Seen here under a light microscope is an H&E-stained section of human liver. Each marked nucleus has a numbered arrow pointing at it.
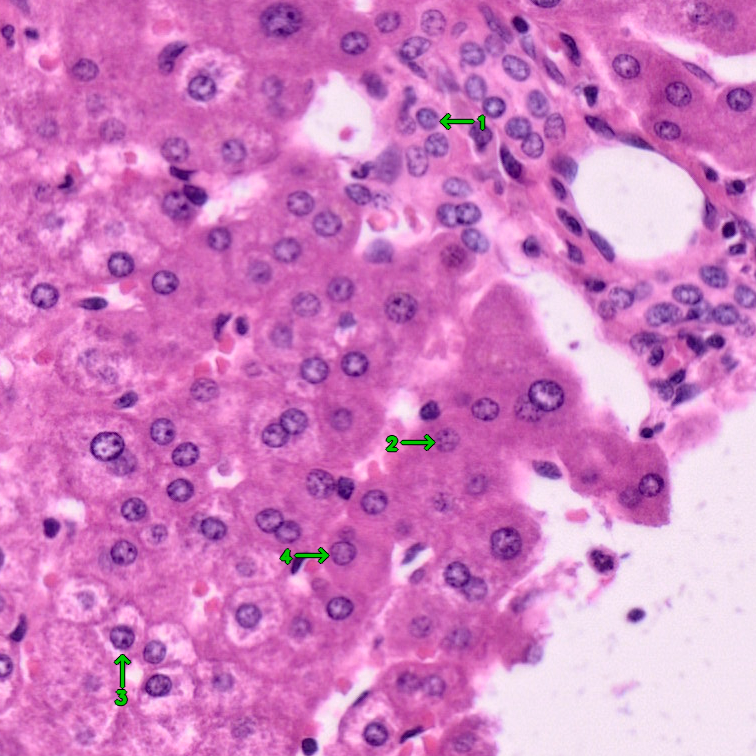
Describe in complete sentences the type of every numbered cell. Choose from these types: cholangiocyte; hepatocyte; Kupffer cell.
Cell 1 is a cholangiocyte. Cells 2, 3 and 4 are hepatocytes.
